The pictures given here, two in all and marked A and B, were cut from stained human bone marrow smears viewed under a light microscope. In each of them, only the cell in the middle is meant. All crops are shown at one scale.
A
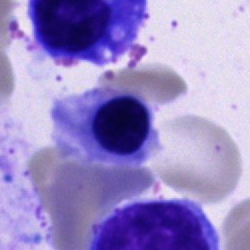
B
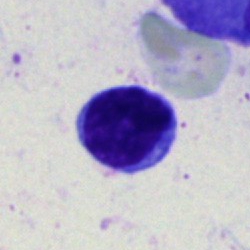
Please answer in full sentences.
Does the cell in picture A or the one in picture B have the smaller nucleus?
Smaller is the nucleus in picture A, and the other is about 2 times as large in area.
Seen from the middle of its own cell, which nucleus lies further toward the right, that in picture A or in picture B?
The nucleus in picture A lies further toward the right of its cell.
